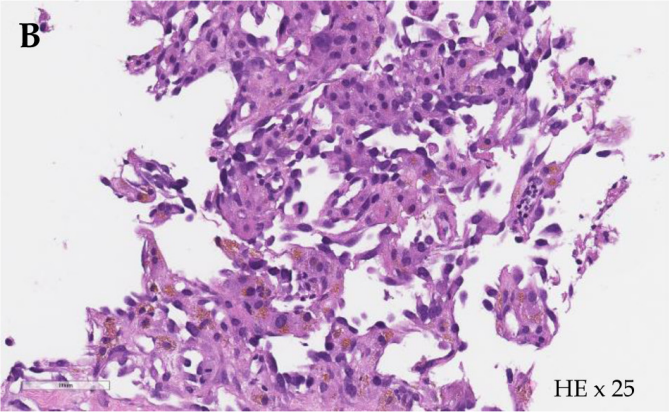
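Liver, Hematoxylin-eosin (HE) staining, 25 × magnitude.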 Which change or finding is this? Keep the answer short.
polymorphic, hyperchromatic nuclei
